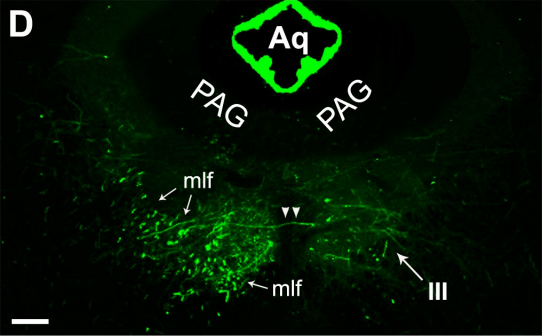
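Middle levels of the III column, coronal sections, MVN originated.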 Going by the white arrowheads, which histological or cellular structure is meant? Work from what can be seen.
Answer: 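A thin green fiber runs horizontally at the center of the section, below the aqueduct. The arrowheads sit at the midline between the two labeled sides.
Hence: fibers crossing midline.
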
